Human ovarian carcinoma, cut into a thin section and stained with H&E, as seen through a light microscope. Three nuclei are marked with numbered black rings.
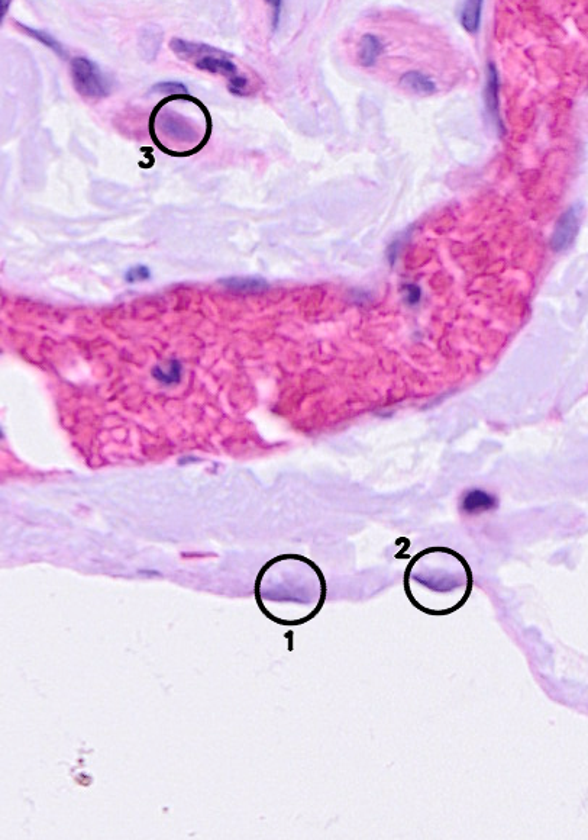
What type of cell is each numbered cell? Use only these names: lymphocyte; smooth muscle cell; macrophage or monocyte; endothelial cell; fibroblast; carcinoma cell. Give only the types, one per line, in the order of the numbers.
endothelial cell
endothelial cell
smooth muscle cell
